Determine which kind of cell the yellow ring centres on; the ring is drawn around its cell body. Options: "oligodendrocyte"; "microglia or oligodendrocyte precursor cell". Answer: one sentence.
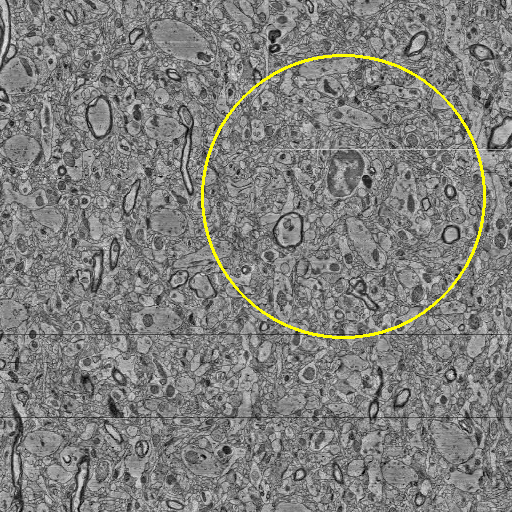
The ring centres on a microglial cell or oligodendrocyte precursor cell.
